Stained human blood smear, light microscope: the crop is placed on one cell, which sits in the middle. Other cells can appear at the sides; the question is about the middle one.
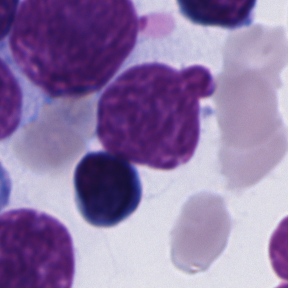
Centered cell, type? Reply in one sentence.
Standing at the centre of this crop is a myeloblast.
